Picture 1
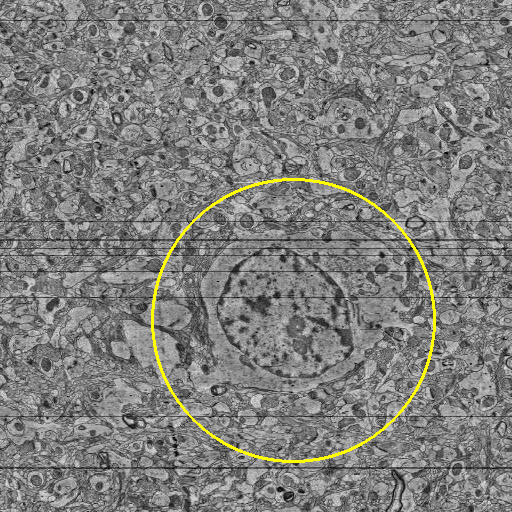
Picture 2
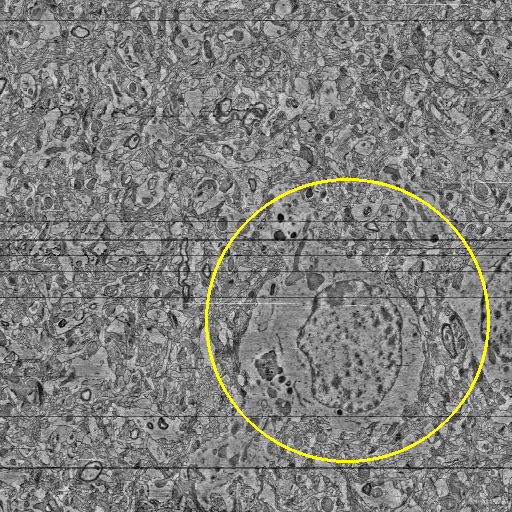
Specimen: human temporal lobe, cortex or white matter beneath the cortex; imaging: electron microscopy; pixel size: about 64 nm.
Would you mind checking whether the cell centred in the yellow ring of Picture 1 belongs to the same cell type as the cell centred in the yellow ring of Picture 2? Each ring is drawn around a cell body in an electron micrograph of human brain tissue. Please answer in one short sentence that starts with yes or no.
Yes, both cells are of the same type.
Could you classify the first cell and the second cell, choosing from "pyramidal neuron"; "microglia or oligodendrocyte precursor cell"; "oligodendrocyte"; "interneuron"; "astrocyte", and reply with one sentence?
Both pictures show an astrocyte at the centre of the ring.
